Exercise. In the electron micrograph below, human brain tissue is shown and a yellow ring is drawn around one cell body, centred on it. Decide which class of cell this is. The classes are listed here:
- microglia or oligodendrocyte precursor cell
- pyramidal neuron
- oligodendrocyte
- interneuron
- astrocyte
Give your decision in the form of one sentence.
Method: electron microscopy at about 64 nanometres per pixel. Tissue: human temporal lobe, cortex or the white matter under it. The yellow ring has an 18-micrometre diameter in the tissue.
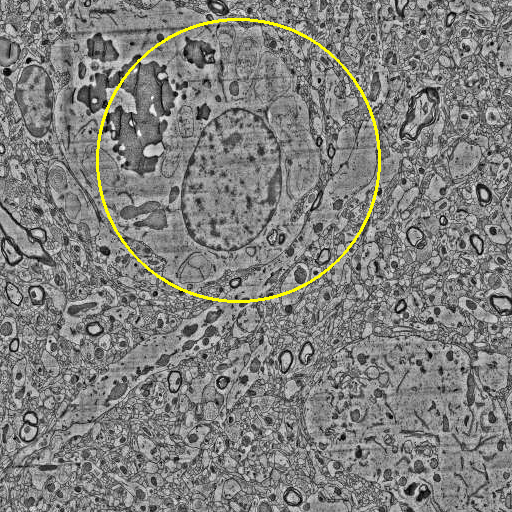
The cell body marked by the ring belongs to an astrocyte.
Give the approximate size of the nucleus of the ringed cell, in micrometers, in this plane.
Roughly 9 micrometres by 6 micrometres, so the nucleus is clearly longer than it is wide in this plane.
